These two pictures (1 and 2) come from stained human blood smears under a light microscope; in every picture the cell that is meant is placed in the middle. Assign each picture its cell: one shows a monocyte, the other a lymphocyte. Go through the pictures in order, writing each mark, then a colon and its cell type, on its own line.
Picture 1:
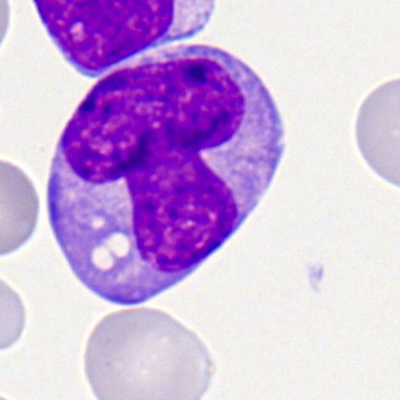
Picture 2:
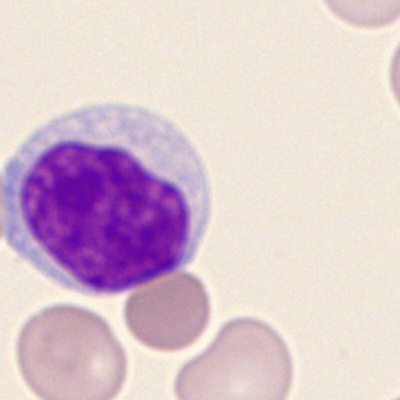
1: monocyte
2: lymphocyte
